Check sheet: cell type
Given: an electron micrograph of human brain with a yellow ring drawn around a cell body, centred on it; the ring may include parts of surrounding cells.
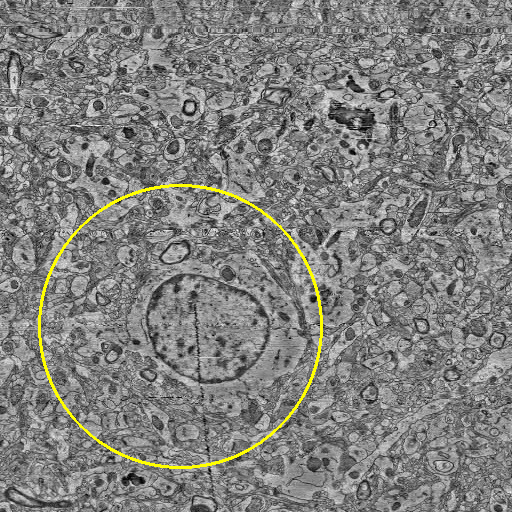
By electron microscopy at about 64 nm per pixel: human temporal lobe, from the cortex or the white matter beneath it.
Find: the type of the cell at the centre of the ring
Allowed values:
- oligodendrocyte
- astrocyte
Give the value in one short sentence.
Here the ringed cell is an astrocyte.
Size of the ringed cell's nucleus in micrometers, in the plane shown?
In this plane, approximately 7 micrometres across.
